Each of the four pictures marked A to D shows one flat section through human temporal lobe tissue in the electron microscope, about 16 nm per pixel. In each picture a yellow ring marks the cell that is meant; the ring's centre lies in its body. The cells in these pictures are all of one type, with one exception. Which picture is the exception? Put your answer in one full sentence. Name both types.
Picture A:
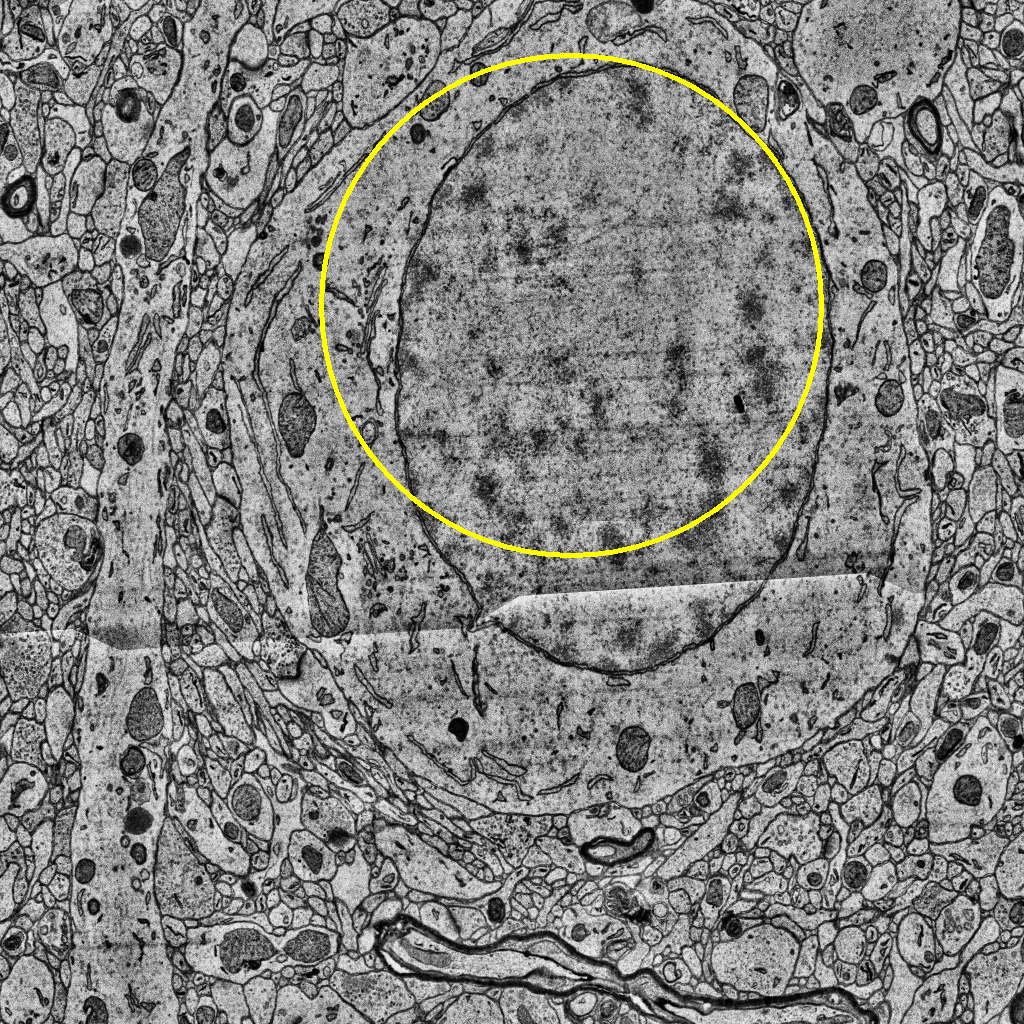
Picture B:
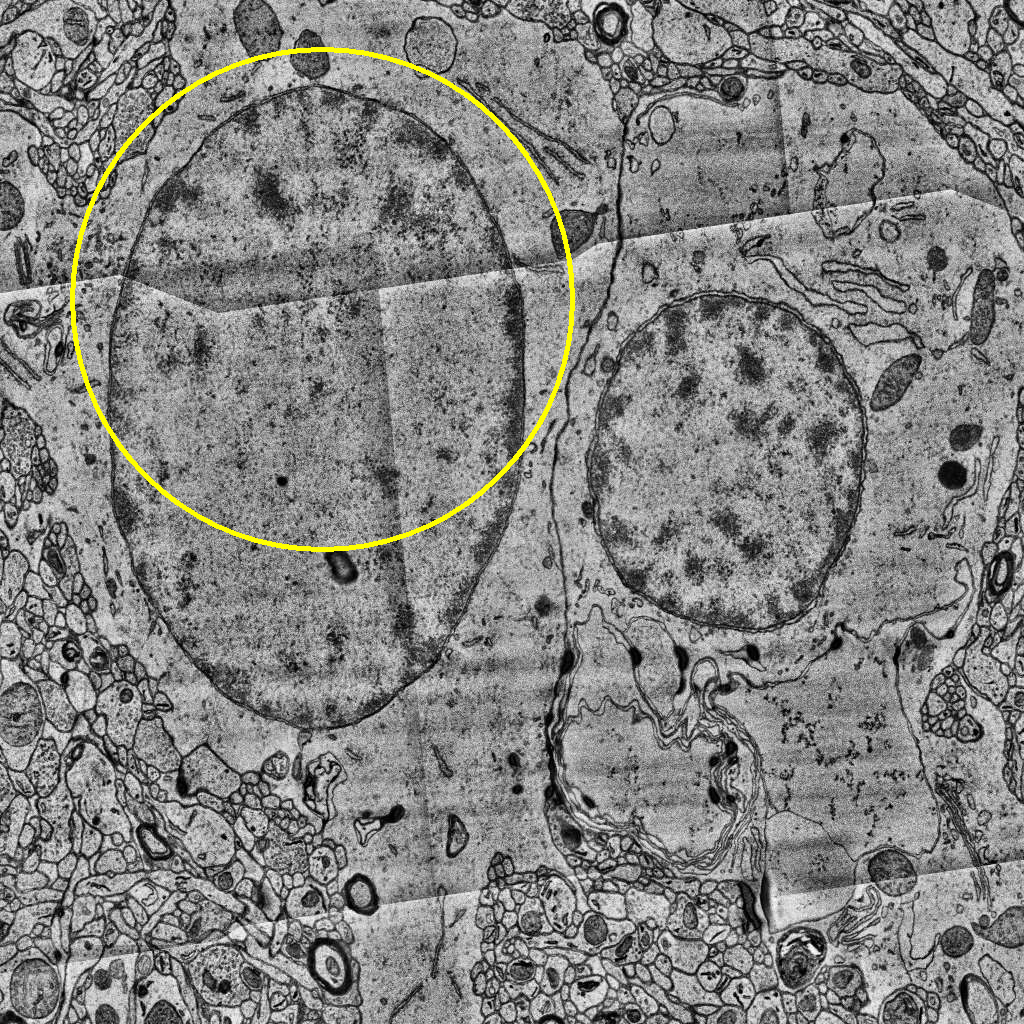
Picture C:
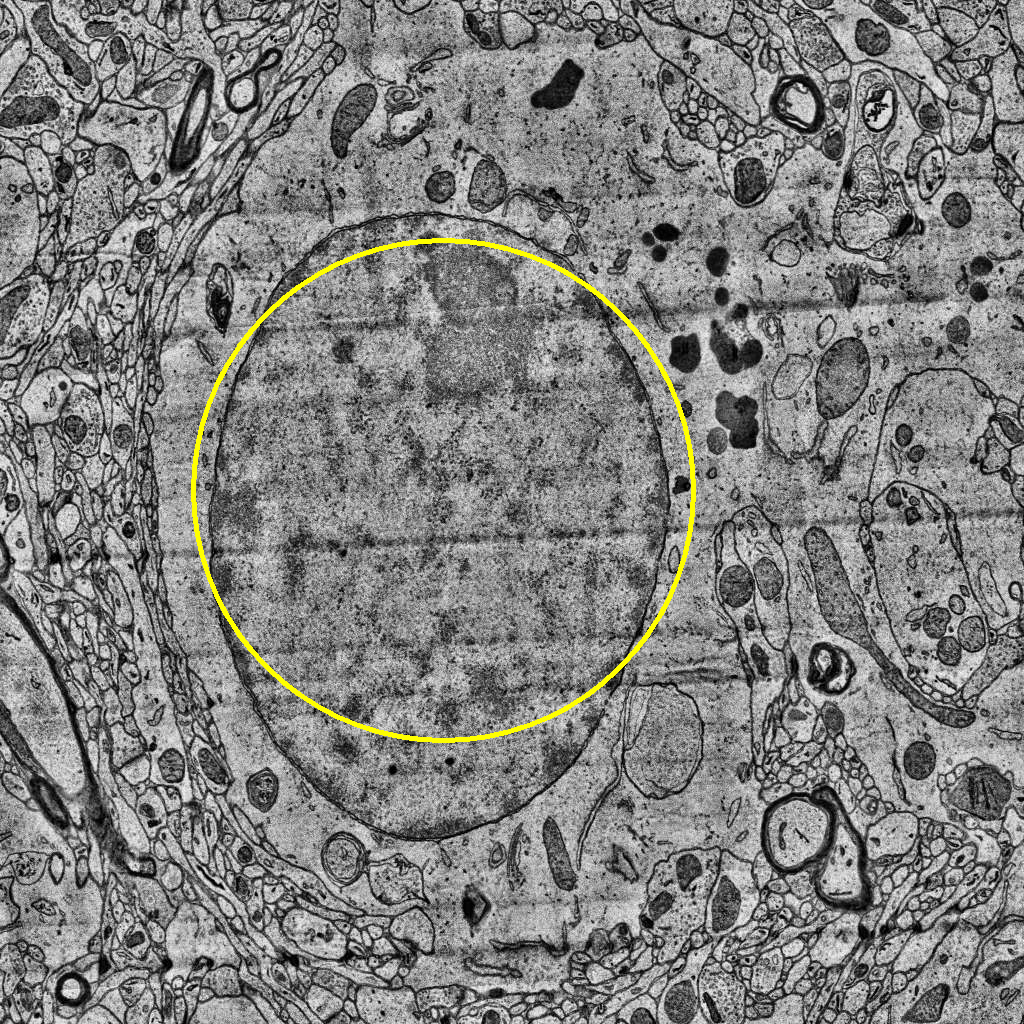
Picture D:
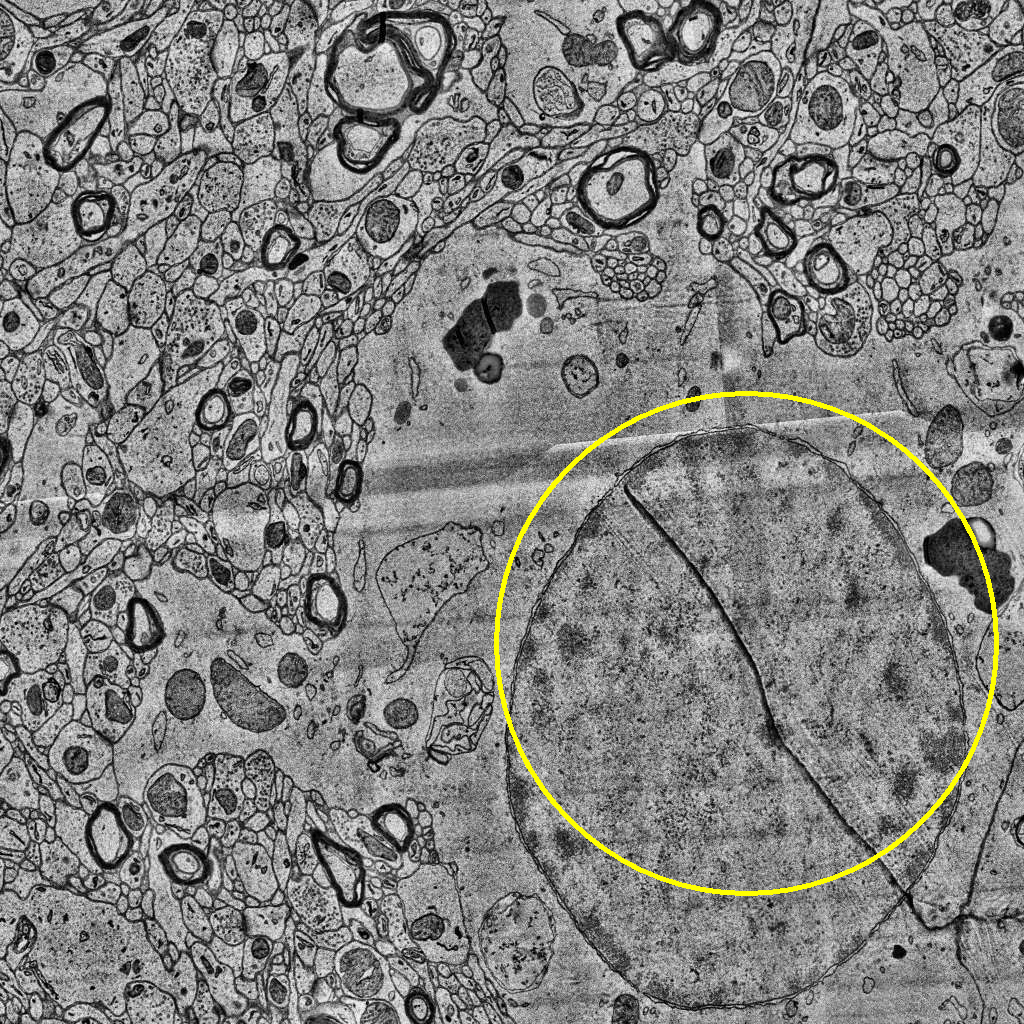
Unlike the rest, which show astrocytes, picture A shows a pyramidal neuron.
